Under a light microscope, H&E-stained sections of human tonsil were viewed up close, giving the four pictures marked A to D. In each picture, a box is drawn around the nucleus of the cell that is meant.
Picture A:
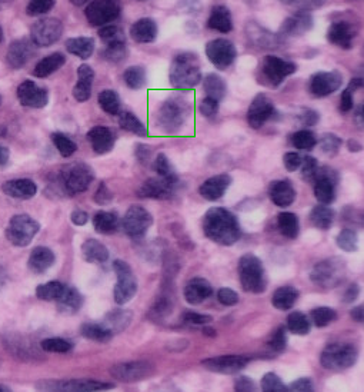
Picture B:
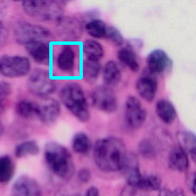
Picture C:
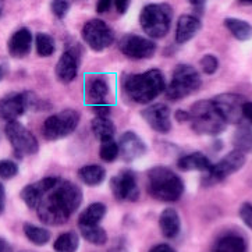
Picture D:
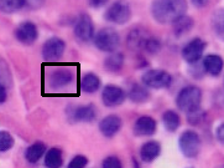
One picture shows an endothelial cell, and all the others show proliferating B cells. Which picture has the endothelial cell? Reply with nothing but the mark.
D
